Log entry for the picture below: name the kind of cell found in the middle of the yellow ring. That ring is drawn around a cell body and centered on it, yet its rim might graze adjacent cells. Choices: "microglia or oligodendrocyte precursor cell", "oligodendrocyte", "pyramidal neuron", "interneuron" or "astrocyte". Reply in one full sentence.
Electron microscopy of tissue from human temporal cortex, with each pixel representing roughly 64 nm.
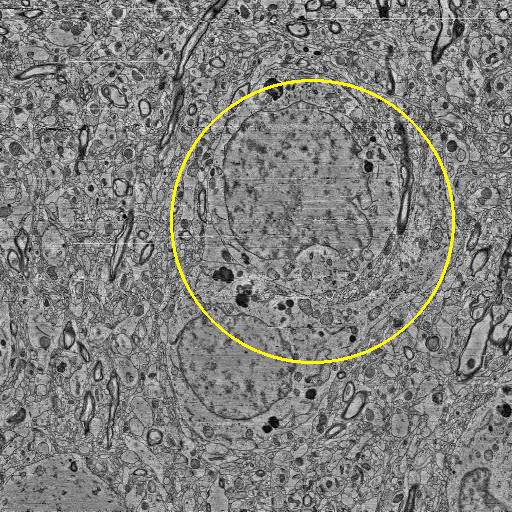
The cell in the middle of the yellow ring in this picture is a pyramidal neuron.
